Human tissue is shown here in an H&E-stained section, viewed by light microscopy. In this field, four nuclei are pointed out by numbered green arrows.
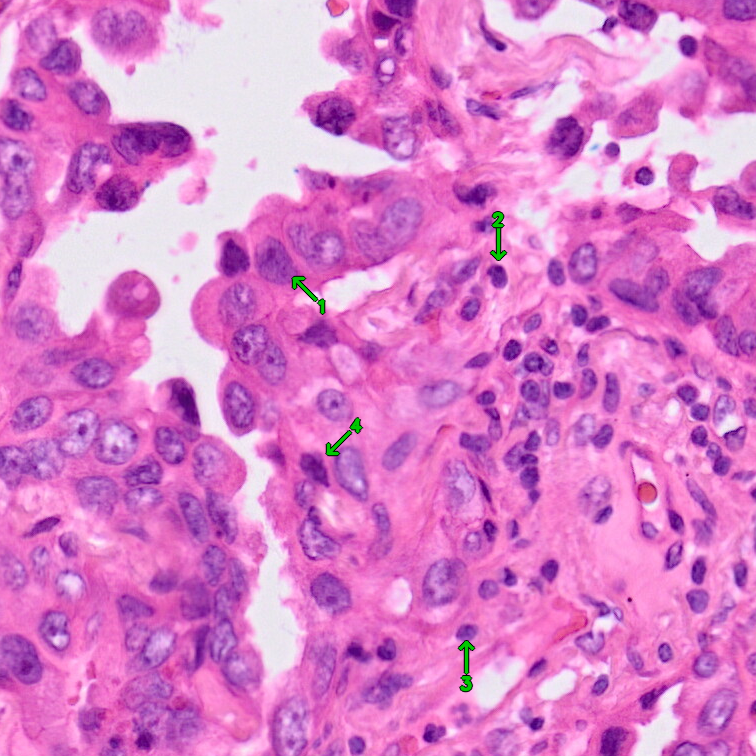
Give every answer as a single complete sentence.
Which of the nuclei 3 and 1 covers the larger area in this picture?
Nucleus 1 is larger, with an area about 4 times that of nucleus 3.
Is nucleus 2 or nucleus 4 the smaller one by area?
Nucleus 2 covers less area, with nucleus 4 about 2 times as large.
